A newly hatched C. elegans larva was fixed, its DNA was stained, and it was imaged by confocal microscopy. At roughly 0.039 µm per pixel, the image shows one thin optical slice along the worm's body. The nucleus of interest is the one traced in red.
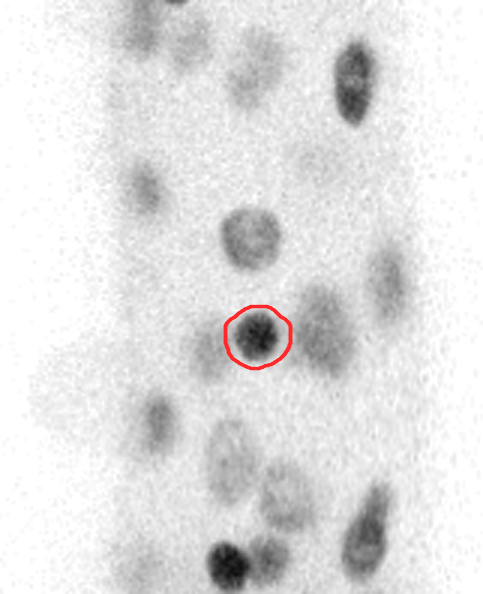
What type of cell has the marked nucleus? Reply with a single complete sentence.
What is marked is the nucleus of a neuron.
